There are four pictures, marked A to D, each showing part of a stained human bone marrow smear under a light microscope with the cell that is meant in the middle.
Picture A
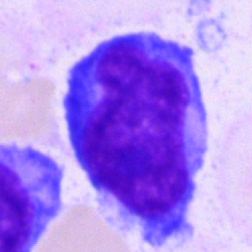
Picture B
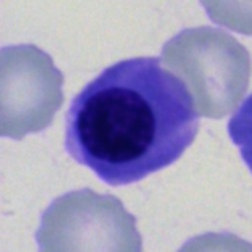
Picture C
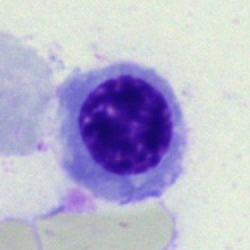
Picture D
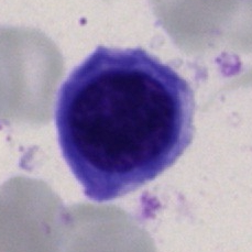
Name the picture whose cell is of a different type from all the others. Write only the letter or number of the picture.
A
